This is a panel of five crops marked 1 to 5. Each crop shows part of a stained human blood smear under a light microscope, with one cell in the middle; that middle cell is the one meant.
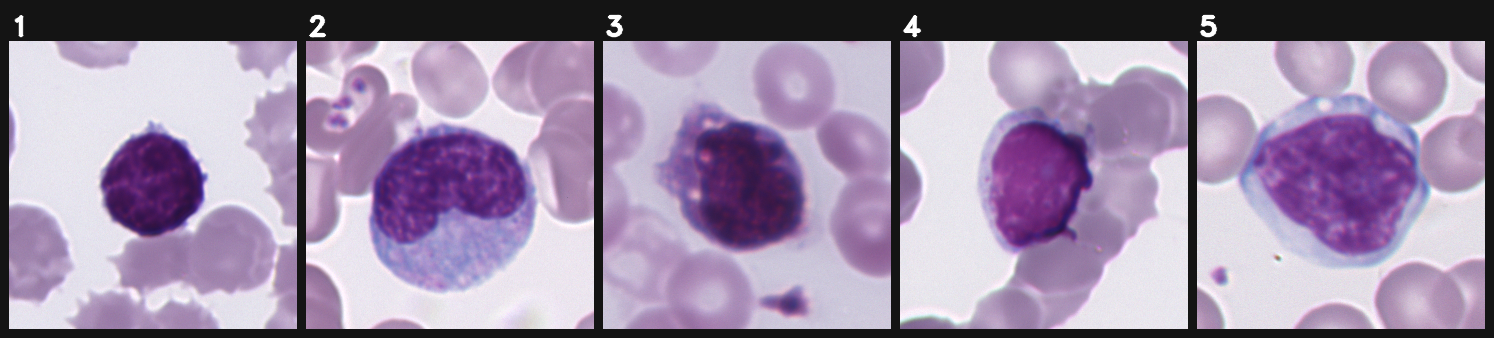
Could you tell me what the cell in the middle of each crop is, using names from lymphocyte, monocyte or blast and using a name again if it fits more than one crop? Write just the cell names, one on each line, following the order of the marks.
lymphocyte
monocyte
monocyte
lymphocyte
blast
